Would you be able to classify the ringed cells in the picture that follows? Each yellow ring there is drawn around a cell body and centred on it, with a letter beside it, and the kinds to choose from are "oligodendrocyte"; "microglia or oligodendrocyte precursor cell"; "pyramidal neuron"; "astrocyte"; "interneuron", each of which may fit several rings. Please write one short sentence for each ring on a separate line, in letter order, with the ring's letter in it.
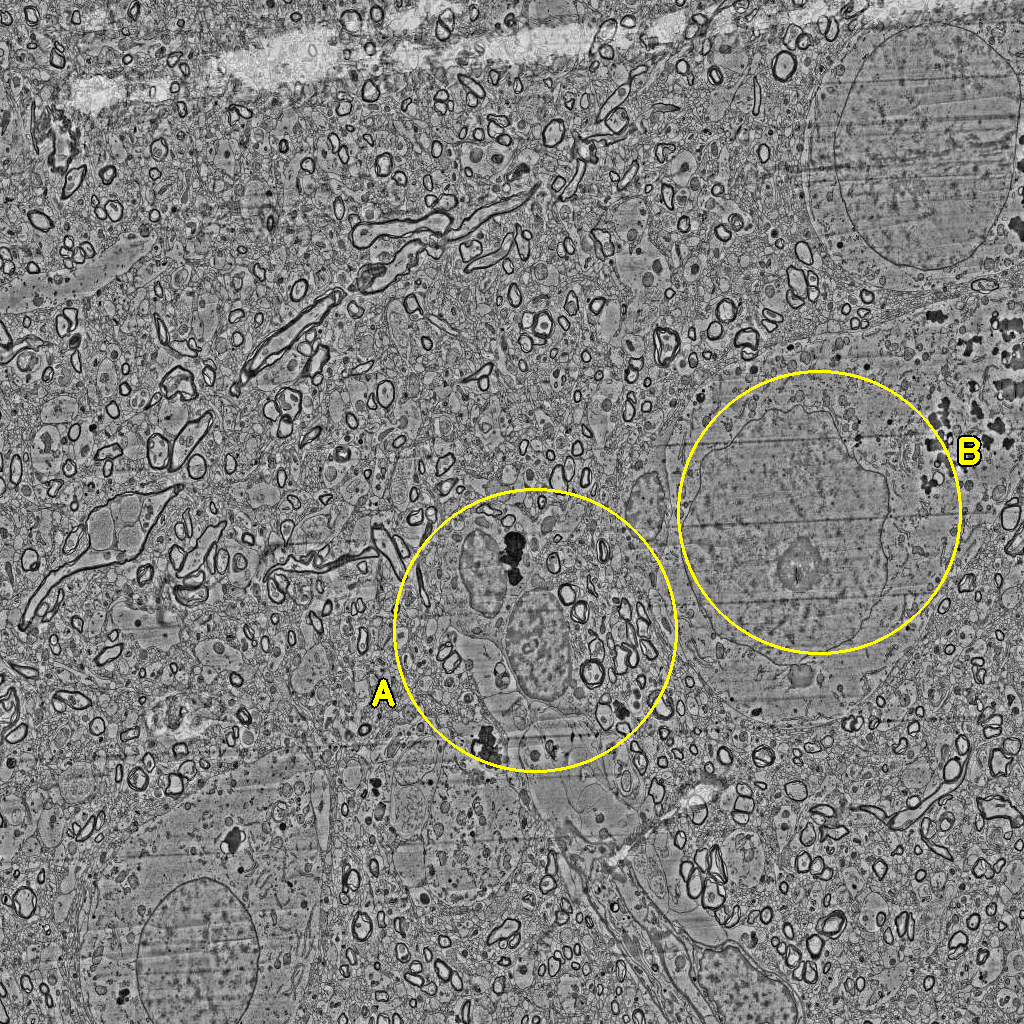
The cell body at the centre of ring A belongs to an oligodendrocyte.
The cell body at the centre of ring B belongs to a pyramidal neuron.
